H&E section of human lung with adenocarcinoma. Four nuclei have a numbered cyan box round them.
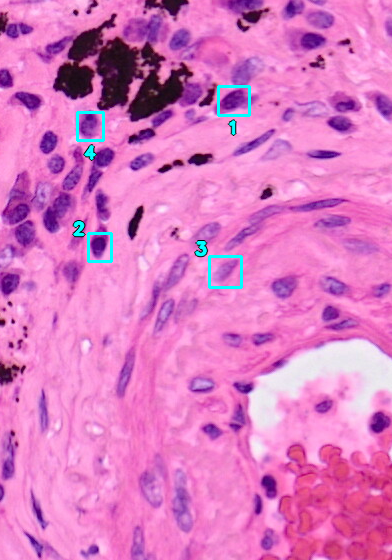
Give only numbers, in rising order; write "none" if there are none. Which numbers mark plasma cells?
1, 2, 4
